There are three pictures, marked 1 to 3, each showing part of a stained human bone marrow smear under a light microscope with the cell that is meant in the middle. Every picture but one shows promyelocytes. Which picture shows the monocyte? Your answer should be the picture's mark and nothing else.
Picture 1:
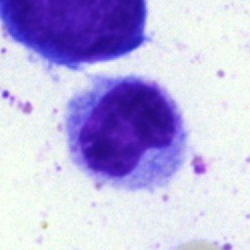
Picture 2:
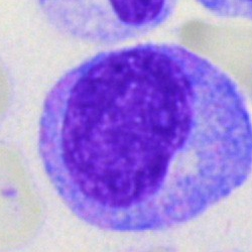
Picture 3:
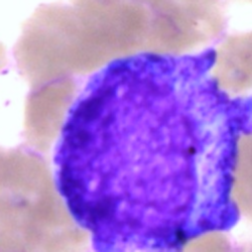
1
